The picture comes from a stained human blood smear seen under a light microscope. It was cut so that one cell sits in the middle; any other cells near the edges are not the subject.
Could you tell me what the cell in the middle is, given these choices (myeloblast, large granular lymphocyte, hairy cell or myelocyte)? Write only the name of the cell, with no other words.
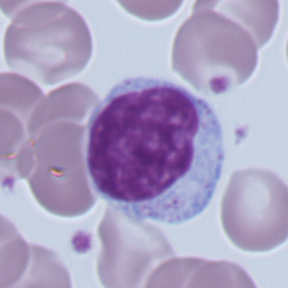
large granular lymphocyte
